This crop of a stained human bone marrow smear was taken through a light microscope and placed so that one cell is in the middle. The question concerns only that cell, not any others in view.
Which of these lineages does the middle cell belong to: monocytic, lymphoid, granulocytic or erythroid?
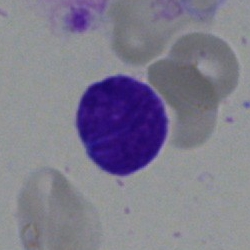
lymphoid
